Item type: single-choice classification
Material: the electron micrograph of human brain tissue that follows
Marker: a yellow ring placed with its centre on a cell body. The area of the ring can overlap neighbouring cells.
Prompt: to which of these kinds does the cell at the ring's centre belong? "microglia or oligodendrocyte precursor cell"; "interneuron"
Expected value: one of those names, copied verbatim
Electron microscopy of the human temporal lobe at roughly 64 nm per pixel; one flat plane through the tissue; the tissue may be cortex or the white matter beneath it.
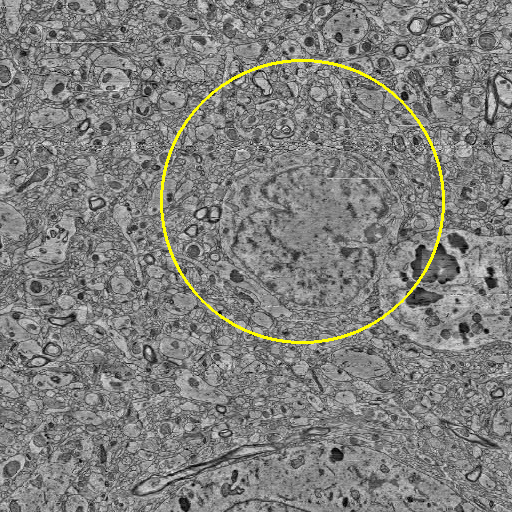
interneuron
